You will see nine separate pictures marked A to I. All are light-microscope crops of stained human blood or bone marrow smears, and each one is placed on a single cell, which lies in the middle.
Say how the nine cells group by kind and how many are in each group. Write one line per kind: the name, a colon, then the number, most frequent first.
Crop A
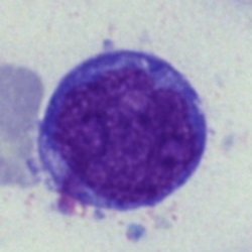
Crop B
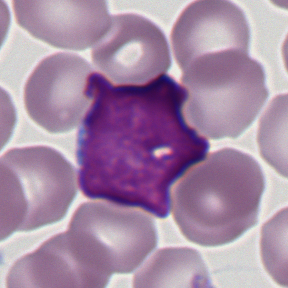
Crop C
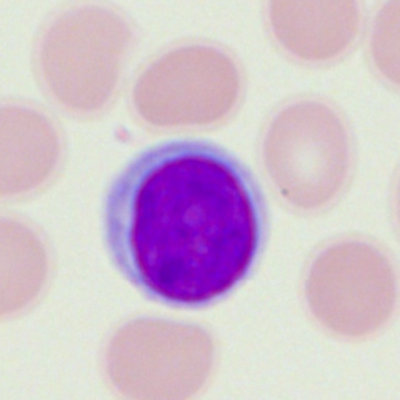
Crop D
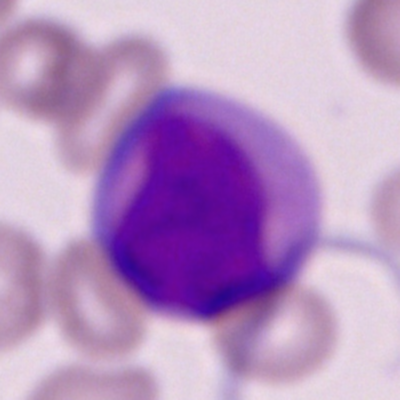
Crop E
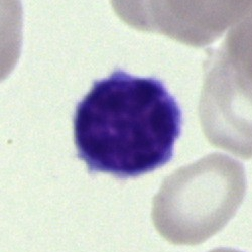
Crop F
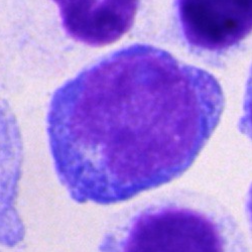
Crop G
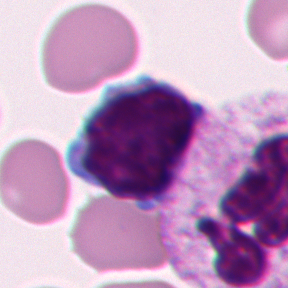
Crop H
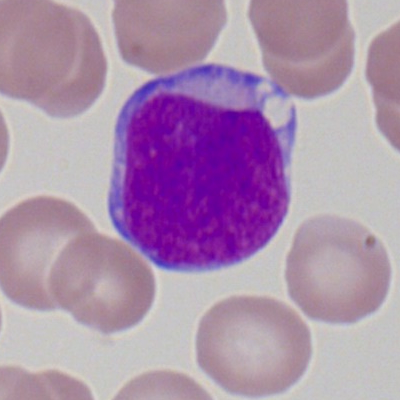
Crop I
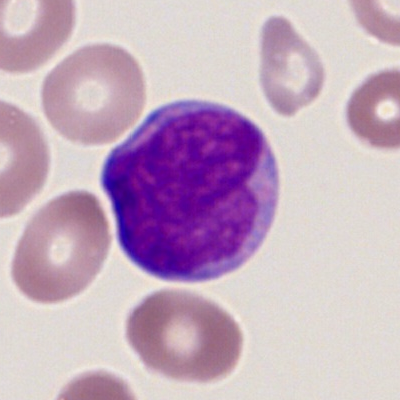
blast: 5
lymphocyte: 4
